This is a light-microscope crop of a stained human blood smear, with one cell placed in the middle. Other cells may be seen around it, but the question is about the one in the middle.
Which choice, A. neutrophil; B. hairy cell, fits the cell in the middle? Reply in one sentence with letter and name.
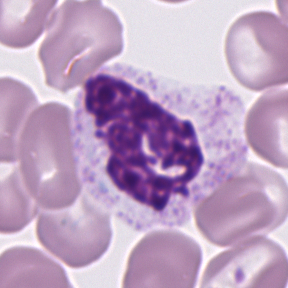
Seen at the centre of the crop is a neutrophil, so option A is correct.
